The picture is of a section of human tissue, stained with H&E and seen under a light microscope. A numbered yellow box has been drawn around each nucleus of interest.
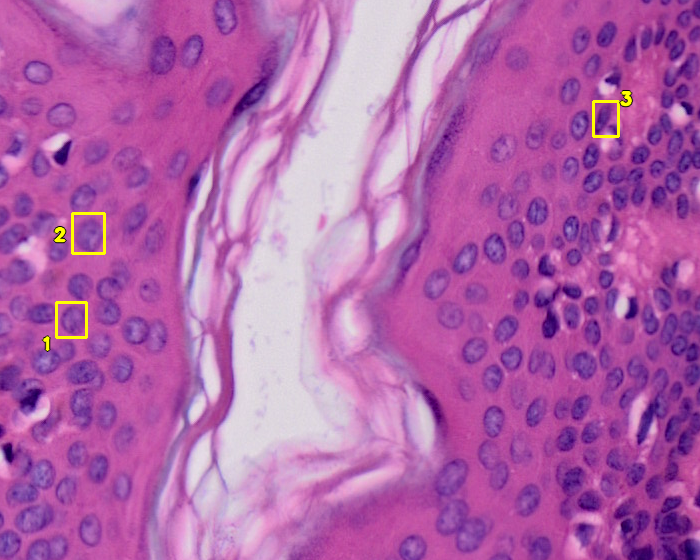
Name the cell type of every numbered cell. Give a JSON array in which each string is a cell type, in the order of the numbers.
["suprabasal keratinocyte", "suprabasal keratinocyte", "basal keratinocyte"]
